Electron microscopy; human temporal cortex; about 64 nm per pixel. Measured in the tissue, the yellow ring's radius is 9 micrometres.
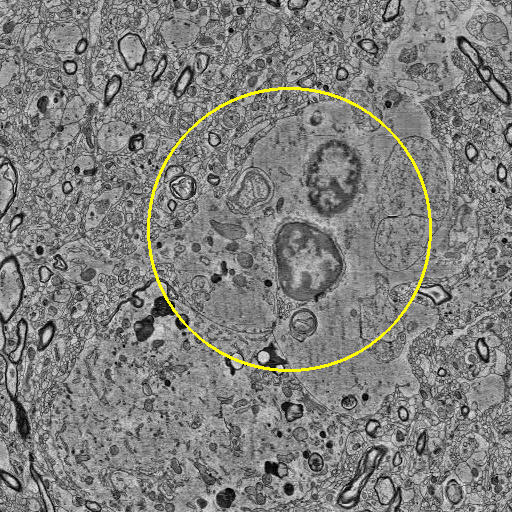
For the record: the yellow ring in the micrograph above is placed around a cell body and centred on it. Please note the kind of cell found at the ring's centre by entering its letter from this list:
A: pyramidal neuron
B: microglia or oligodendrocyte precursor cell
B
